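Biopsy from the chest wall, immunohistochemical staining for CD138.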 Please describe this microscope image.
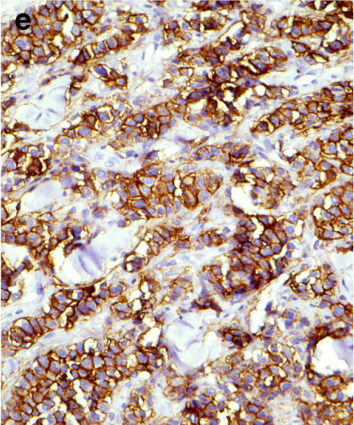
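The brown lies mainly at the cell surfaces, so each cell appears as a brown ring around a paler centre with a blue nucleus, giving a honeycomb look. The cells are grouped in nests and cords, and between them run pale, almost clear bands of loose connective tissue with few blue nuclei.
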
